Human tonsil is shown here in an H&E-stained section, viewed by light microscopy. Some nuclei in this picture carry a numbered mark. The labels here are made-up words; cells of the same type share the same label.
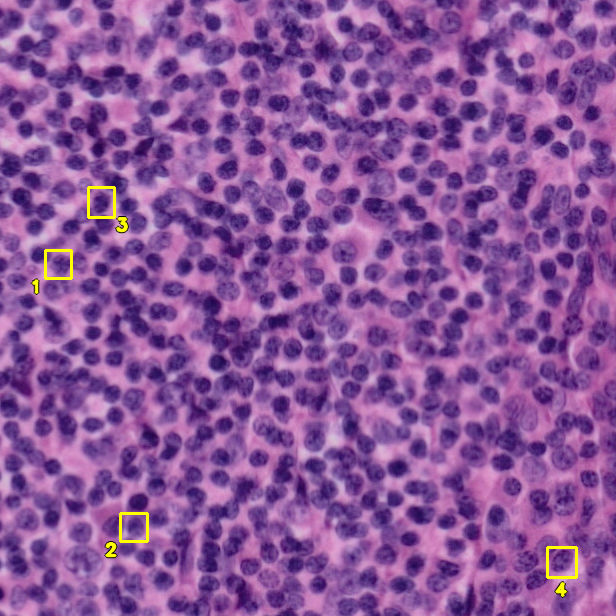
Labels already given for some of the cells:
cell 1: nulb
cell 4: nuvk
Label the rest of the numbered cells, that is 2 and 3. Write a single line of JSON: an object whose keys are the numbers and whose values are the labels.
{"2": "nulb", "3": "nulb"}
